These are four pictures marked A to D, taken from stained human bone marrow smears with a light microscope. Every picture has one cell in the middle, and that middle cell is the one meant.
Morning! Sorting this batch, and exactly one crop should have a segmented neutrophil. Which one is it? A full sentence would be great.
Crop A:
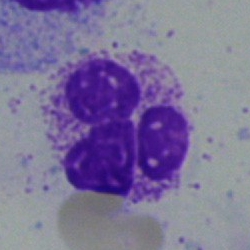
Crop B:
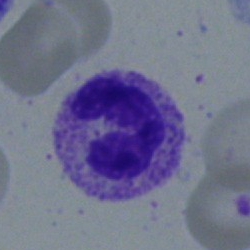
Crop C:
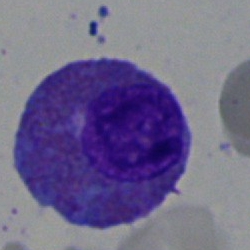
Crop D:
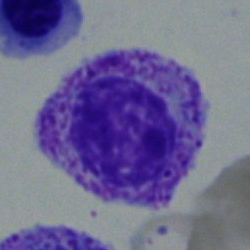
Of the cells presented, the one in crop A is a segmented neutrophil.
